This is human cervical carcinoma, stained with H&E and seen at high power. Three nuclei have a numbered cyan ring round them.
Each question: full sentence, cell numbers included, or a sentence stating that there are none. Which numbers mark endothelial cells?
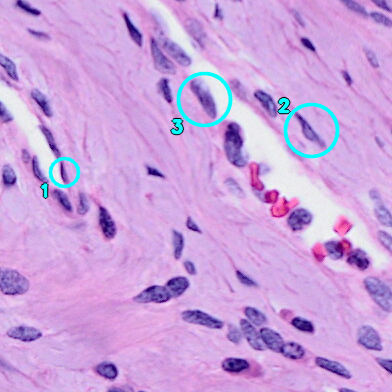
The numbers 1 and 3 in this section indicate endothelial cells.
